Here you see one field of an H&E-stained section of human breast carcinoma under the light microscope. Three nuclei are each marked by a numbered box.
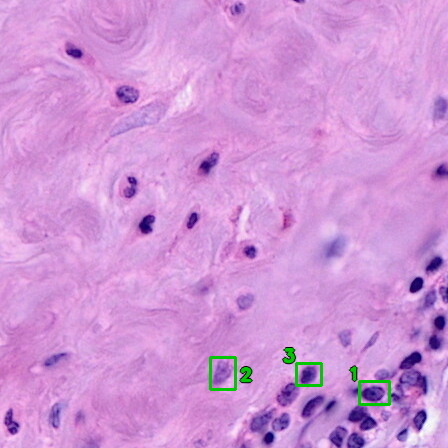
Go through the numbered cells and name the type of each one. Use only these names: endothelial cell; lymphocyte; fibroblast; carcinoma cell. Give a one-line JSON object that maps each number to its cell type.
{"1": "lymphocyte", "2": "fibroblast", "3": "lymphocyte"}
